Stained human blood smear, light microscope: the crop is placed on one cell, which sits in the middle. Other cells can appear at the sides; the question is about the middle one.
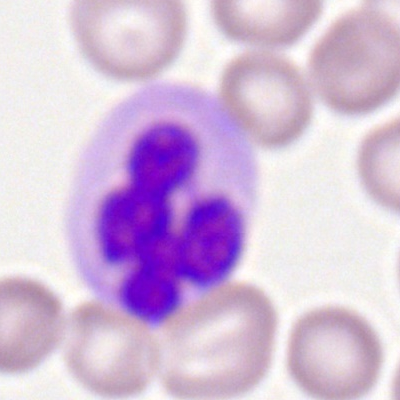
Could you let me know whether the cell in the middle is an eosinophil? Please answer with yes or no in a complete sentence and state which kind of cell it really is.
No, the cell in the middle is recognised as a monocyte rather than an eosinophil.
